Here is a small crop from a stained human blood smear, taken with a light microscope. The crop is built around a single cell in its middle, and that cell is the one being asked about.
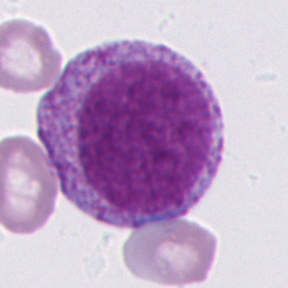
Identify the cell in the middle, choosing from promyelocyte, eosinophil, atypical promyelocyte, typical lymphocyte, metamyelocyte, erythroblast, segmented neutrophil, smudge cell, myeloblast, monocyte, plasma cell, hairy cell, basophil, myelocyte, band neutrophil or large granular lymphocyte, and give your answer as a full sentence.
The centered cell in this crop is a promyelocyte.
